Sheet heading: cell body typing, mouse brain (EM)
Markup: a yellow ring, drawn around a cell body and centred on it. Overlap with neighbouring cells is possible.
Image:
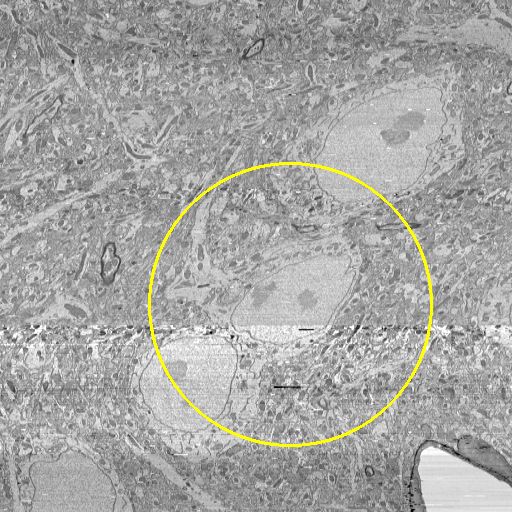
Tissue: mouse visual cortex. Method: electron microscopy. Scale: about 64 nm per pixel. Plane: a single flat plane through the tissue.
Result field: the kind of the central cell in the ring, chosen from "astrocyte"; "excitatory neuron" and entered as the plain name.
excitatory neuron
